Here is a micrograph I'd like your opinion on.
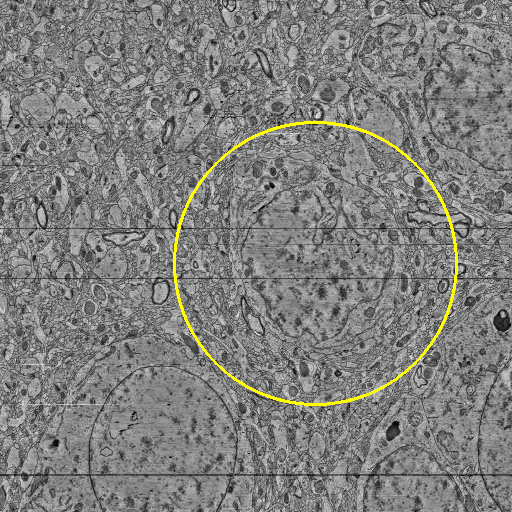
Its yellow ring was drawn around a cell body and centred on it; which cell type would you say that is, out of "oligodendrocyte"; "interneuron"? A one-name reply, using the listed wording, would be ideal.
interneuron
